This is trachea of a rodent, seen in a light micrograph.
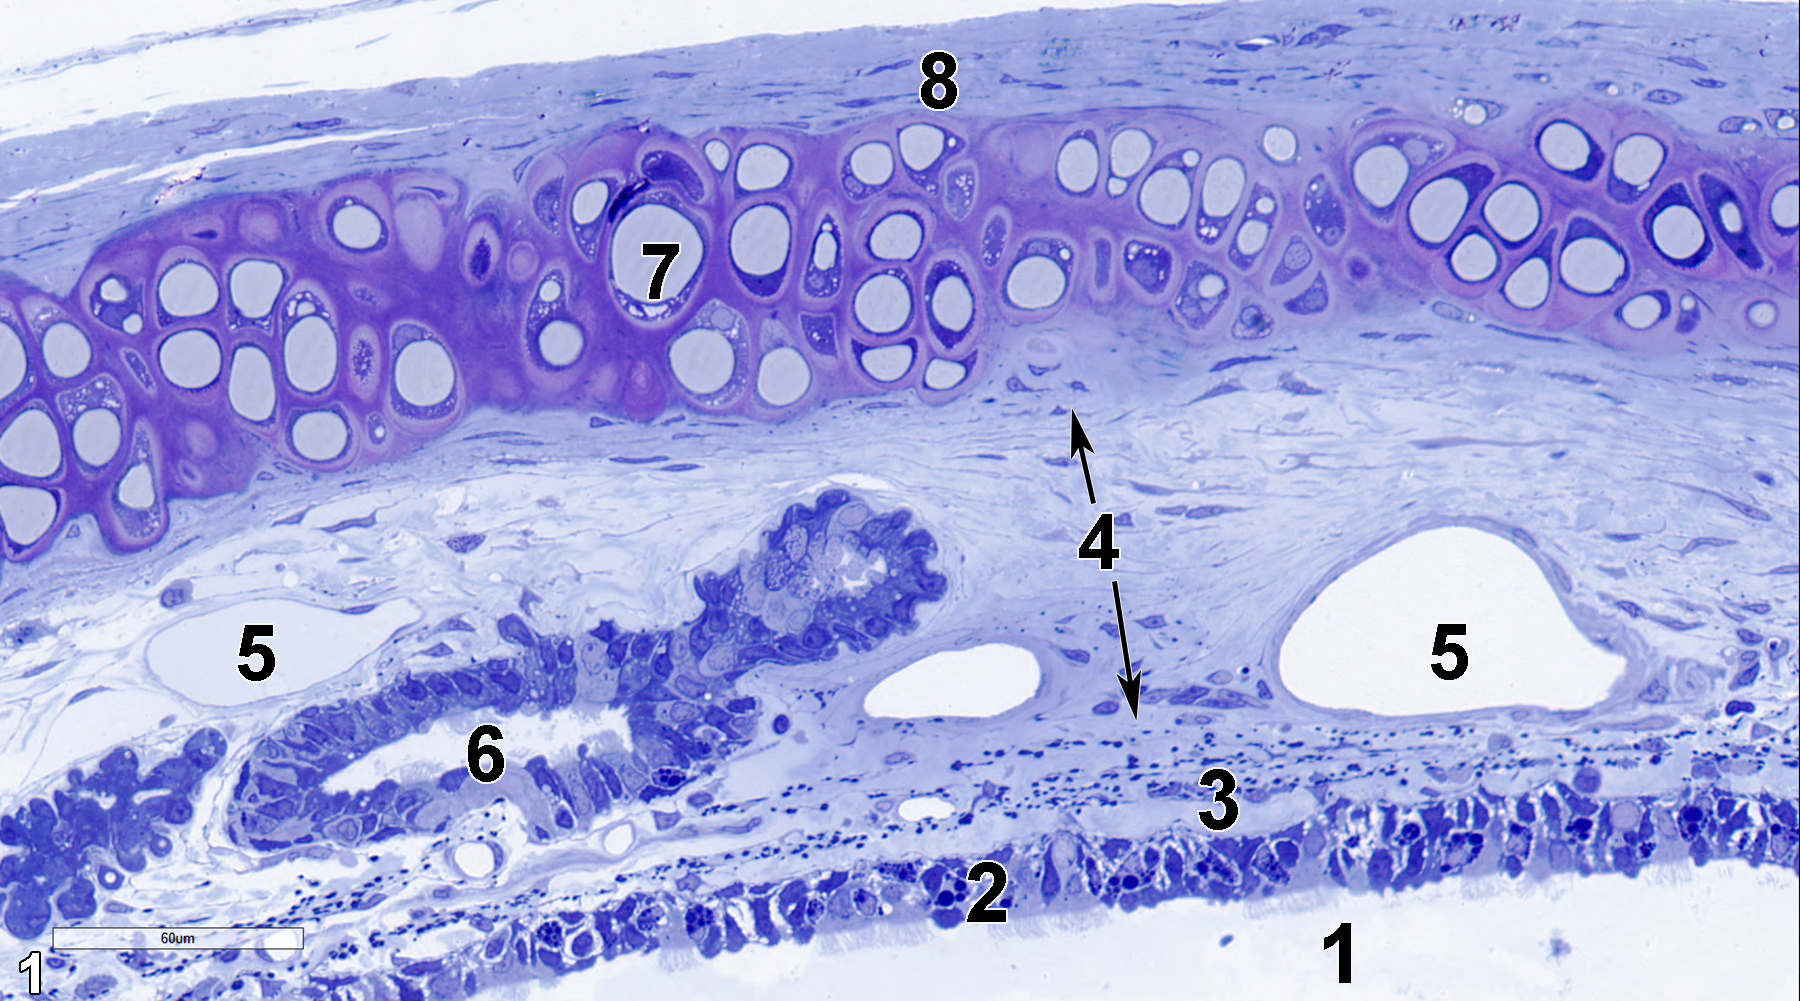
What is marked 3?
Lamina propria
